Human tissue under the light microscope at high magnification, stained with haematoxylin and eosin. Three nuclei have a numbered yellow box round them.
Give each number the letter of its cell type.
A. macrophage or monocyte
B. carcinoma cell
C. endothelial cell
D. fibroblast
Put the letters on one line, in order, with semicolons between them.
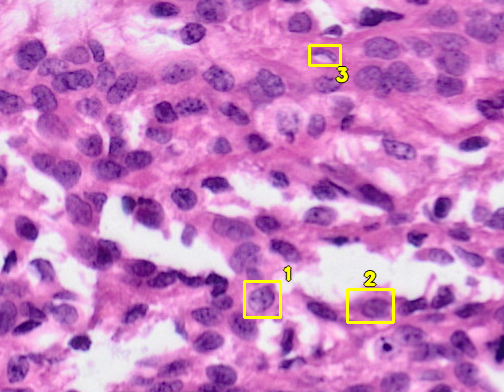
A; B; C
